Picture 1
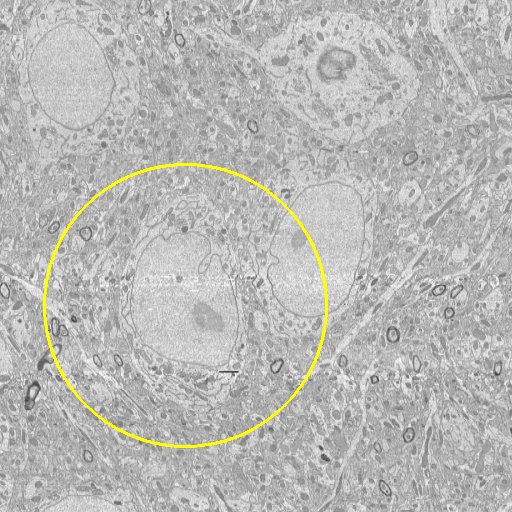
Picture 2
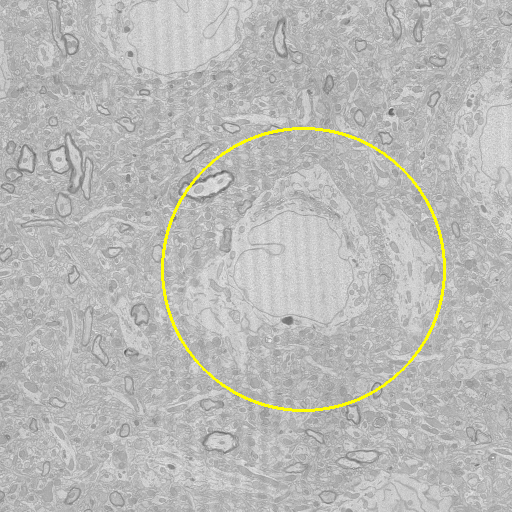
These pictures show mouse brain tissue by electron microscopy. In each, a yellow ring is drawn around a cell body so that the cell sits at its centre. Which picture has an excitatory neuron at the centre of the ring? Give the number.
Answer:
2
